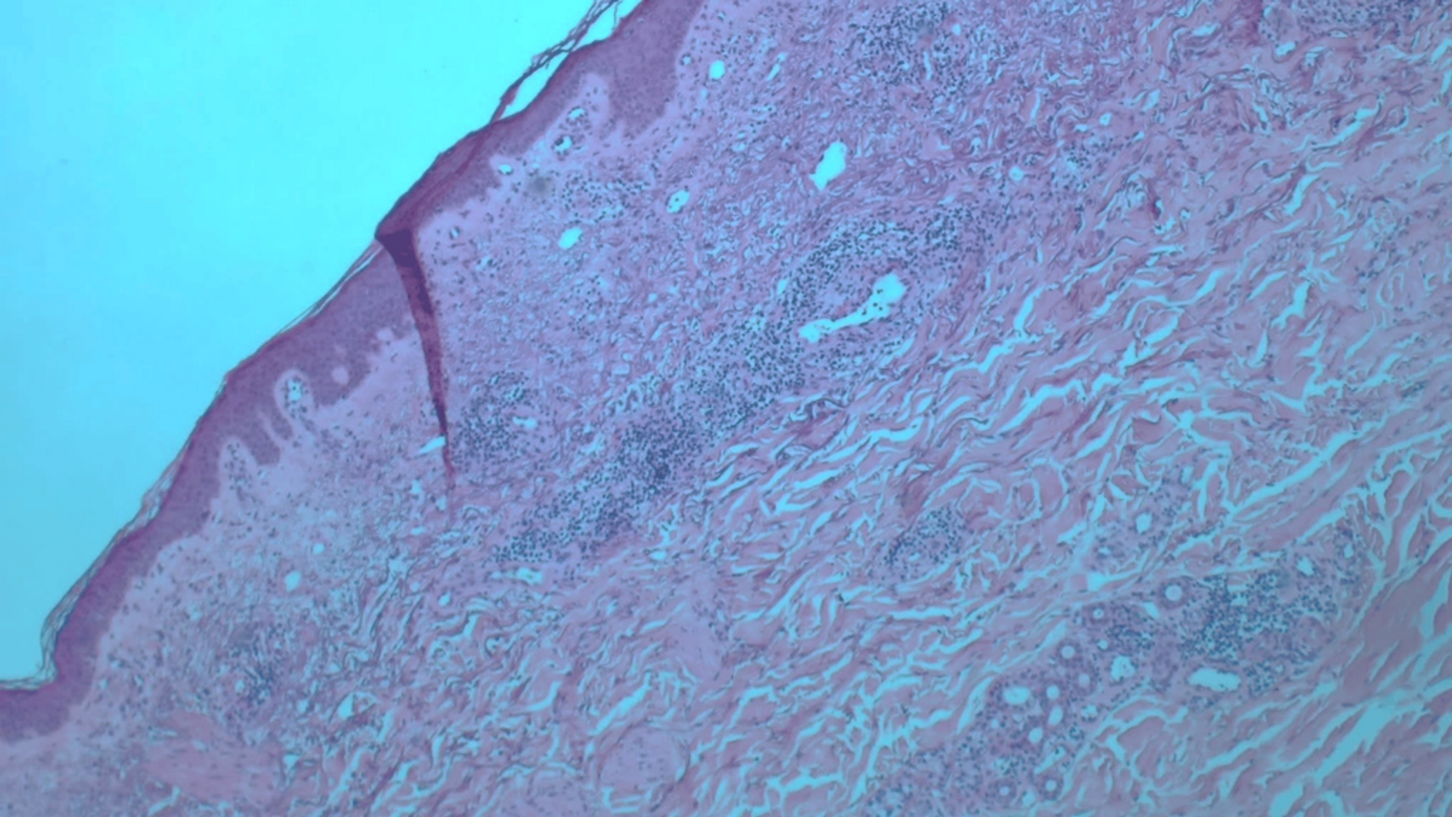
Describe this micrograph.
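This low-power view of skin shows a thin stratified epidermis along the upper left edge, with a compact pink surface layer and downward rete ridges. Beneath it, the dermis is made of pink, wavy collagen bundles separated by pale clefts. In the upper and middle dermis, dense clusters of small, round, dark-blue nuclei with scant cytoplasm gather around small vessels, forming sleeve-like infiltrates. The deeper dermis at lower right contains small round glandular tubules with more of these small dark cells around them. Between the clusters, the collagen holds only scattered cells.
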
